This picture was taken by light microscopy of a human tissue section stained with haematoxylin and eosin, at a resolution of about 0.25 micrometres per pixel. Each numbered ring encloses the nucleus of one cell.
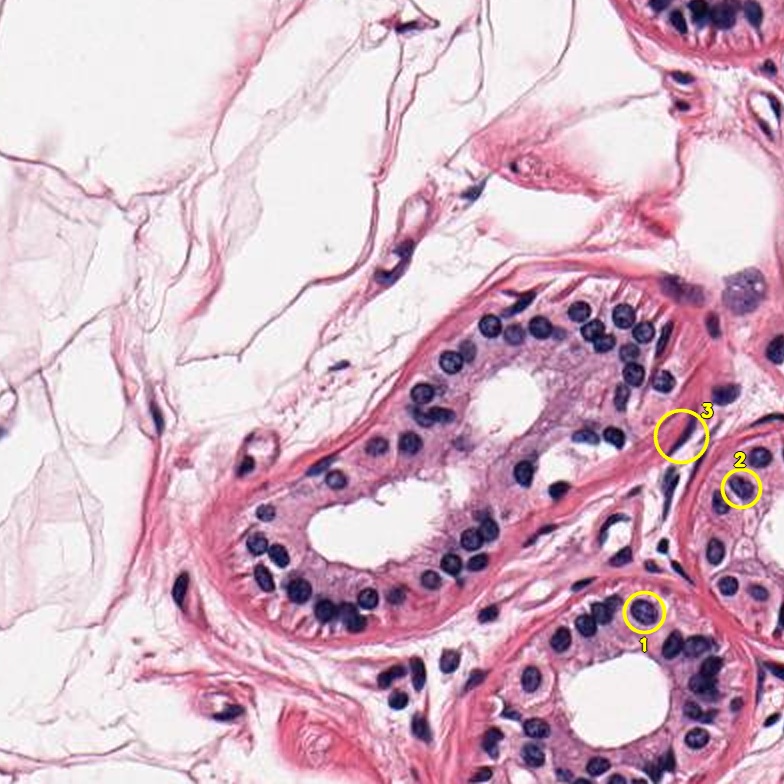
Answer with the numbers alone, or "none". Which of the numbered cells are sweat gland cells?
1, 2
